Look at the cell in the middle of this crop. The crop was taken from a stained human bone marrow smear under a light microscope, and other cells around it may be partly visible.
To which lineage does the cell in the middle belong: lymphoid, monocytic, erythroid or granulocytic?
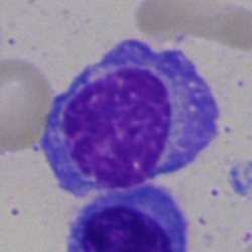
lymphoid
